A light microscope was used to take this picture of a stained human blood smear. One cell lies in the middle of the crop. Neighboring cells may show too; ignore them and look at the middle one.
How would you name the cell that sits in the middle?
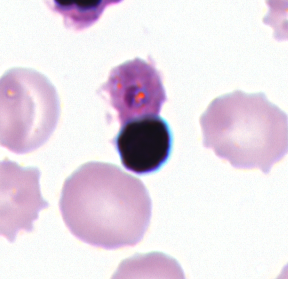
normoblast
